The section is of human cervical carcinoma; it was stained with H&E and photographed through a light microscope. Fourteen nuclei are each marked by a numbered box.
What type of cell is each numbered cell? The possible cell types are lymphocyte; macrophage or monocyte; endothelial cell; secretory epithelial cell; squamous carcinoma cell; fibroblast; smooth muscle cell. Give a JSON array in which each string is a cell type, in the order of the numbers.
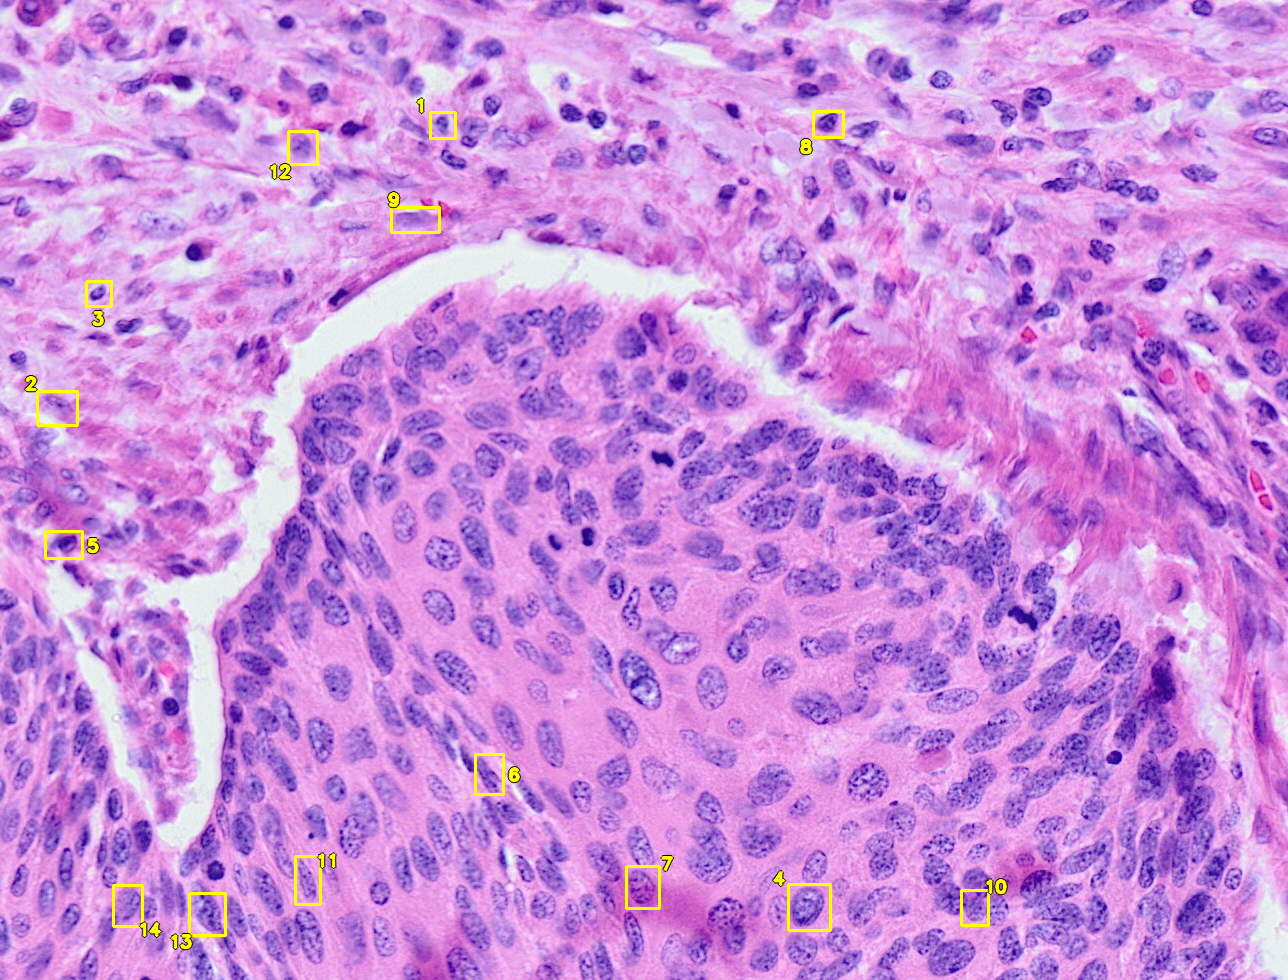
["lymphocyte", "fibroblast", "lymphocyte", "squamous carcinoma cell", "lymphocyte", "squamous carcinoma cell", "squamous carcinoma cell", "lymphocyte", "endothelial cell", "squamous carcinoma cell", "squamous carcinoma cell", "macrophage or monocyte", "squamous carcinoma cell", "squamous carcinoma cell"]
